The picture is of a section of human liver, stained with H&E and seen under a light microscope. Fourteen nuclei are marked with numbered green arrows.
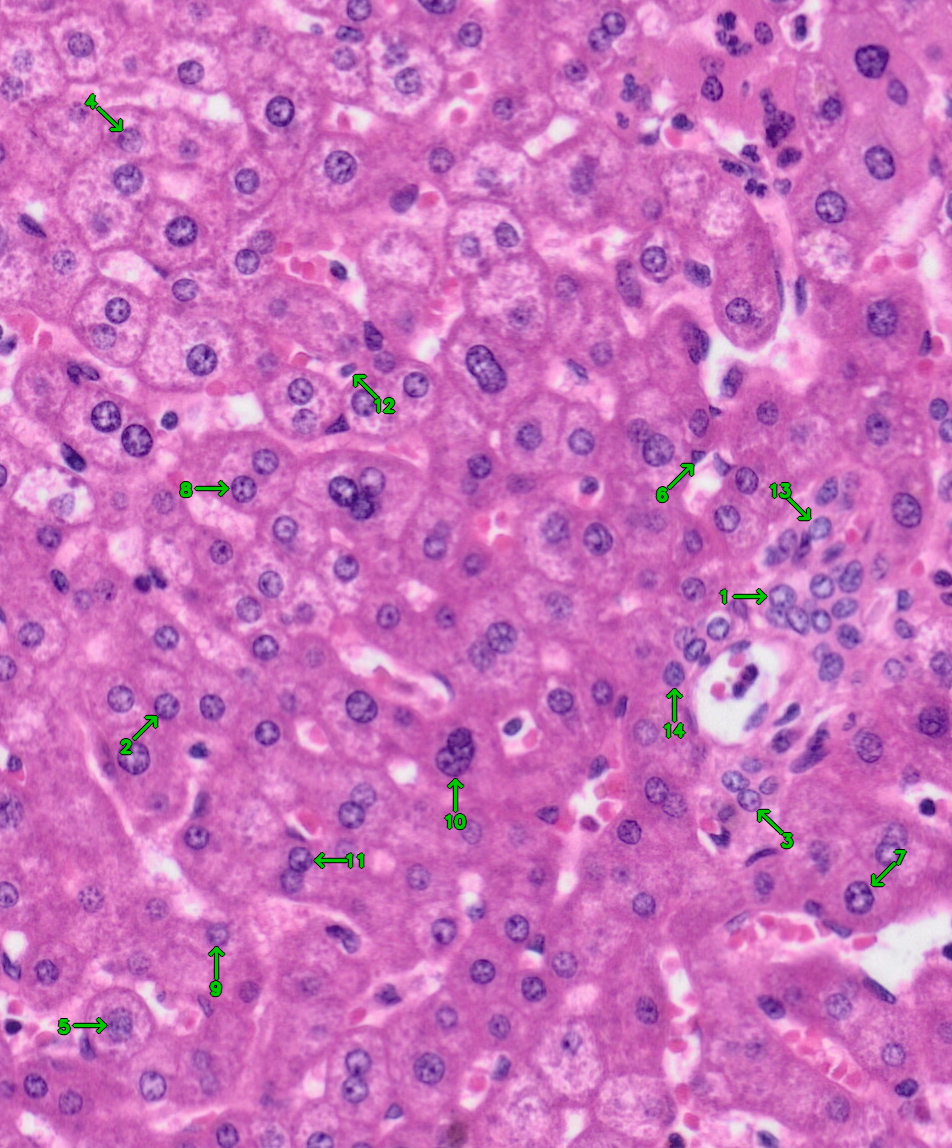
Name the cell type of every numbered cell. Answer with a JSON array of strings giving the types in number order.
["cholangiocyte", "hepatocyte", "cholangiocyte", "hepatocyte", "hepatocyte", "fibroblast or stellate cell", "hepatocyte", "hepatocyte", "hepatocyte", "hepatocyte", "hepatocyte", "lymphocyte", "cholangiocyte", "cholangiocyte"]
